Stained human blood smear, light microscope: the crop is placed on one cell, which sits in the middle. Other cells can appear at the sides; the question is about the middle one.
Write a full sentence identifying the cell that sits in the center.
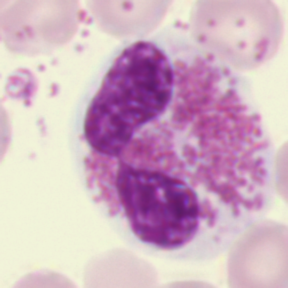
Whatever else lies nearby, the middle cell is an eosinophil.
